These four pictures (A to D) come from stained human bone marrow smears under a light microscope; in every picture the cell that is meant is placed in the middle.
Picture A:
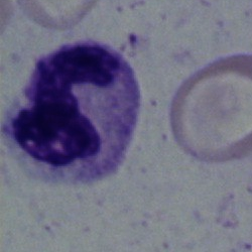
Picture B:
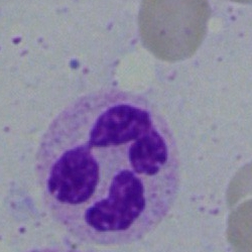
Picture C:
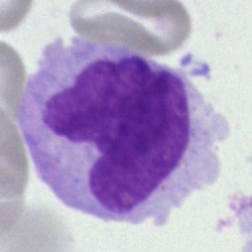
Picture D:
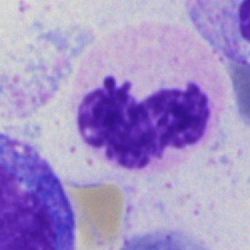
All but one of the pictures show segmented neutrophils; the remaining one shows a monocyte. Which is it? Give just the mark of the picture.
C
